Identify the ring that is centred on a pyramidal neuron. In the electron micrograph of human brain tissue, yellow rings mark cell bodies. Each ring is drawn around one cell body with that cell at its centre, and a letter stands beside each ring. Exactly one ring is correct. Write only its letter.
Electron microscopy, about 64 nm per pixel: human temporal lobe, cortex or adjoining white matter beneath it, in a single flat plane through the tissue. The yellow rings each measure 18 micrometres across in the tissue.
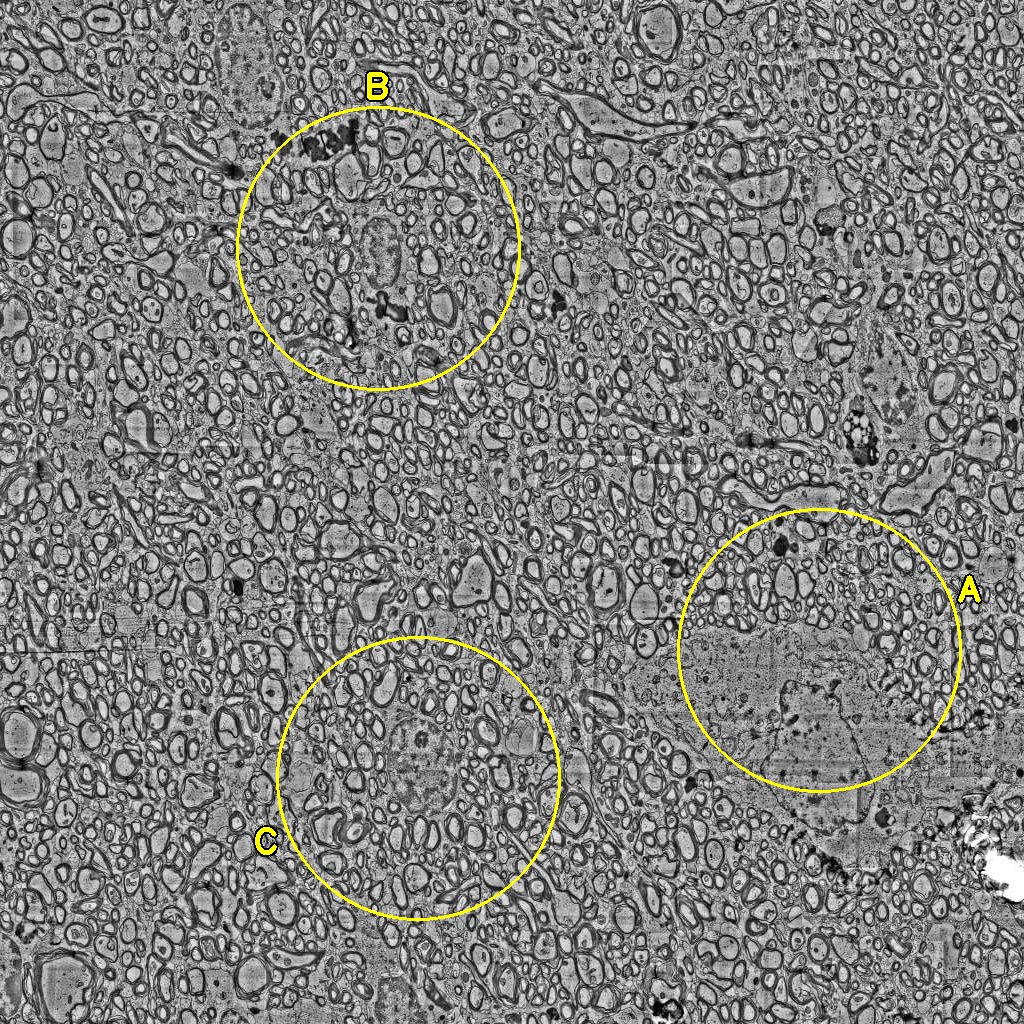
A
